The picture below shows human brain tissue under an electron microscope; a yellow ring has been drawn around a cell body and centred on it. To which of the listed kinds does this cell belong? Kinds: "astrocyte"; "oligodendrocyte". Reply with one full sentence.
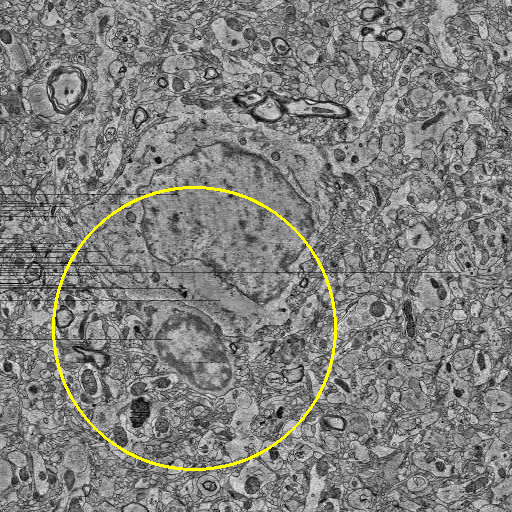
It is an oligodendrocyte that the yellow ring in the picture is centred on.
